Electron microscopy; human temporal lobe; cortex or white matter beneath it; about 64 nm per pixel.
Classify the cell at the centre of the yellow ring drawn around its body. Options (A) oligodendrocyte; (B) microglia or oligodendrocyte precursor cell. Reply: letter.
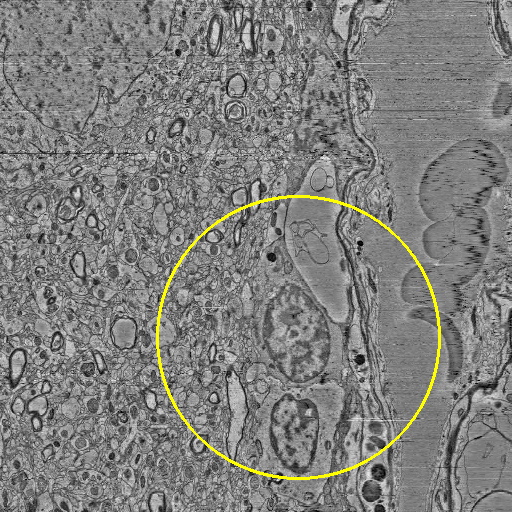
A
